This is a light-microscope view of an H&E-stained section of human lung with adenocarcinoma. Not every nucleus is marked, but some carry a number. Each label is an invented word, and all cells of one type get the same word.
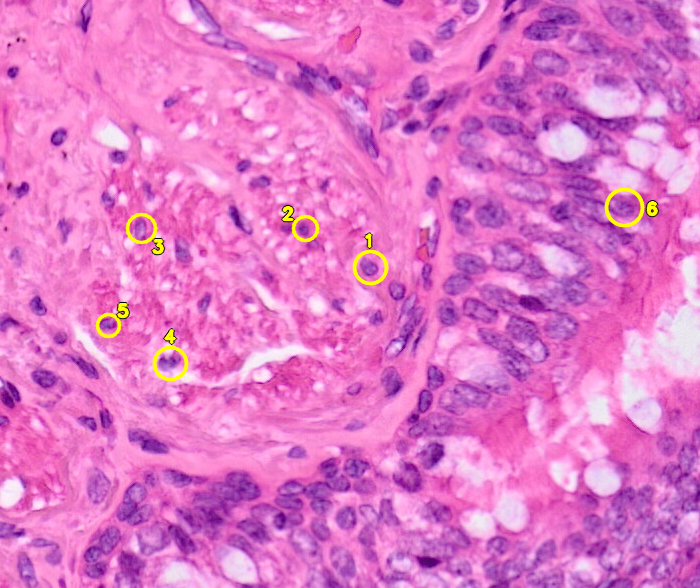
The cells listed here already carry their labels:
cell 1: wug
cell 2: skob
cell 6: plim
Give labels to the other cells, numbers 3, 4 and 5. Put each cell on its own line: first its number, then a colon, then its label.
3: skob
4: wug
5: skob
